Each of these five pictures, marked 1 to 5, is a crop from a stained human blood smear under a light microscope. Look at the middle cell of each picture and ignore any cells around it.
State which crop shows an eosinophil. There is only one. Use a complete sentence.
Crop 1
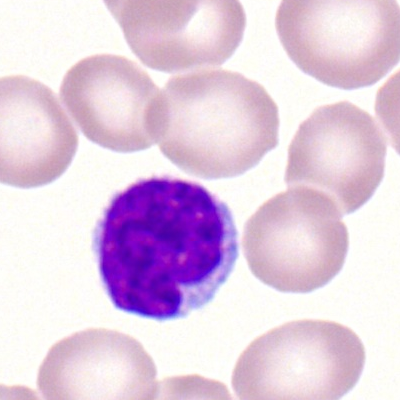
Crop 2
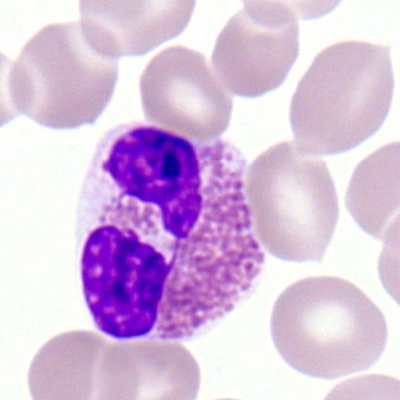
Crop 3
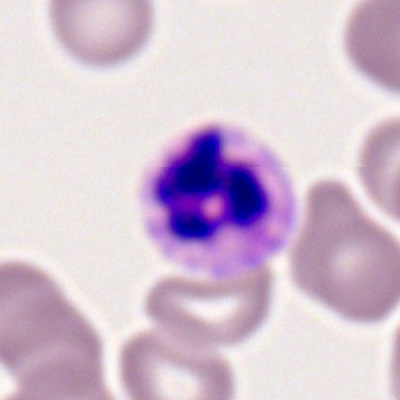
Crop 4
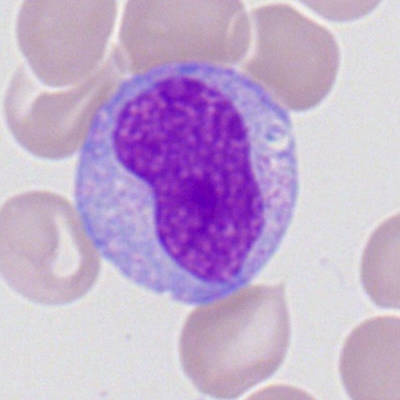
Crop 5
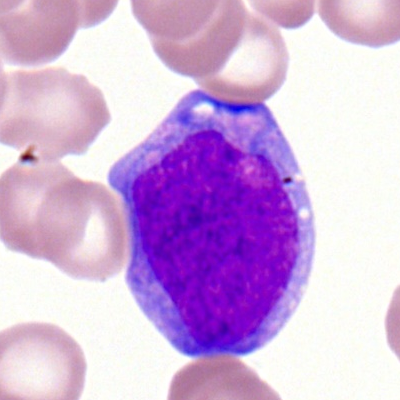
Crop 2 represents an eosinophil, while the other crops do not.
